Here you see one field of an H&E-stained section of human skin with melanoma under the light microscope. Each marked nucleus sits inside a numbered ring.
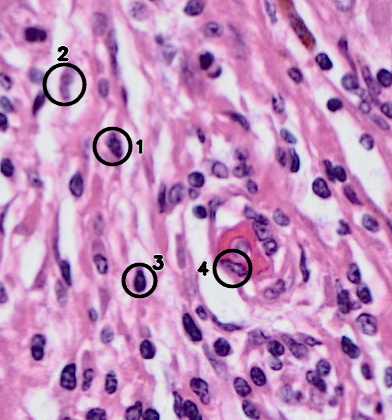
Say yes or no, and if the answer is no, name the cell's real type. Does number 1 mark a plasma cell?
Yes.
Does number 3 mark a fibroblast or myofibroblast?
No, it is a plasma cell.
